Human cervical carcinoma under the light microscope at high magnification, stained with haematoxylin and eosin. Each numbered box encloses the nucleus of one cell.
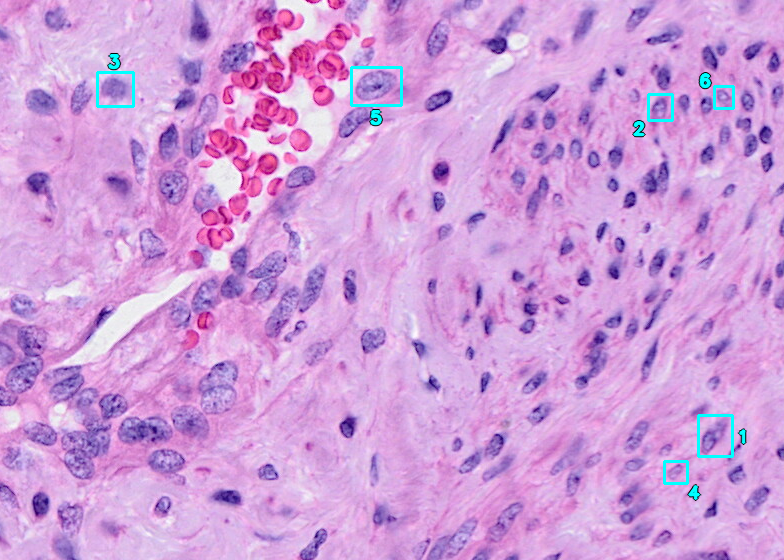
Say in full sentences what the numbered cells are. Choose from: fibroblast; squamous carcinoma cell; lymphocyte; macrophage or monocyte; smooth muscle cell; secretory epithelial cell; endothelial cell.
Cell 1 is a smooth muscle cell, cell 2 is a smooth muscle cell, cell 3 is a fibroblast, cell 4 is a smooth muscle cell, cell 5 is an endothelial cell and cell 6 is a smooth muscle cell.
